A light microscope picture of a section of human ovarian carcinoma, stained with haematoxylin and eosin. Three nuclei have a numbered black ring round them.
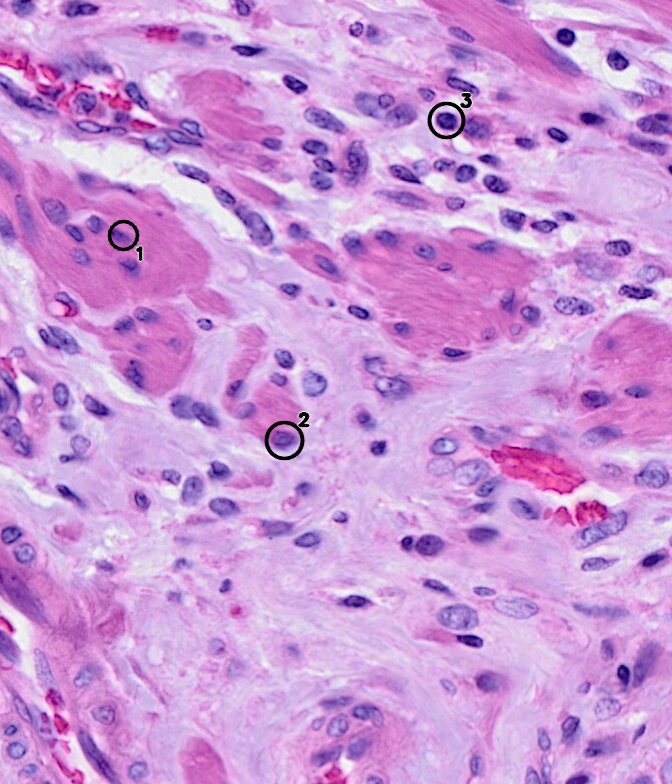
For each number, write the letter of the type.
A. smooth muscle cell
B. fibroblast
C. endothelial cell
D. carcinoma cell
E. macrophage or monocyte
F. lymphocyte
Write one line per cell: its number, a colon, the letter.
1: A
2: A
3: F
